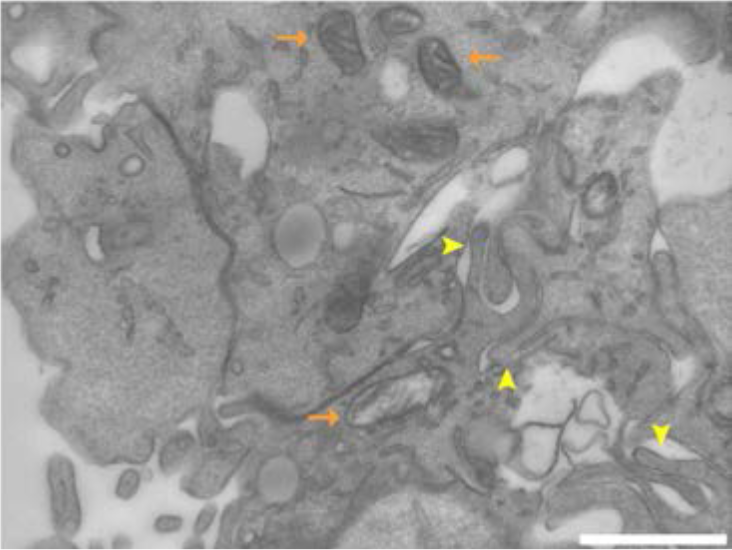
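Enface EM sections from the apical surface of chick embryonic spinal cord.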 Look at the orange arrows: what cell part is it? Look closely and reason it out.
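Oval dark organelles with internal membrane folds near the top. Marked organelles sit within the cytoplasm of the cell bodies.
Mitochondria.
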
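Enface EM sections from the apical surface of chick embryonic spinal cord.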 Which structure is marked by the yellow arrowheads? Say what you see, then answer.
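Thin membrane-bound cell extensions between neighbouring cells. The marked extensions lack mitochondria.
Answer: lateral protrusions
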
